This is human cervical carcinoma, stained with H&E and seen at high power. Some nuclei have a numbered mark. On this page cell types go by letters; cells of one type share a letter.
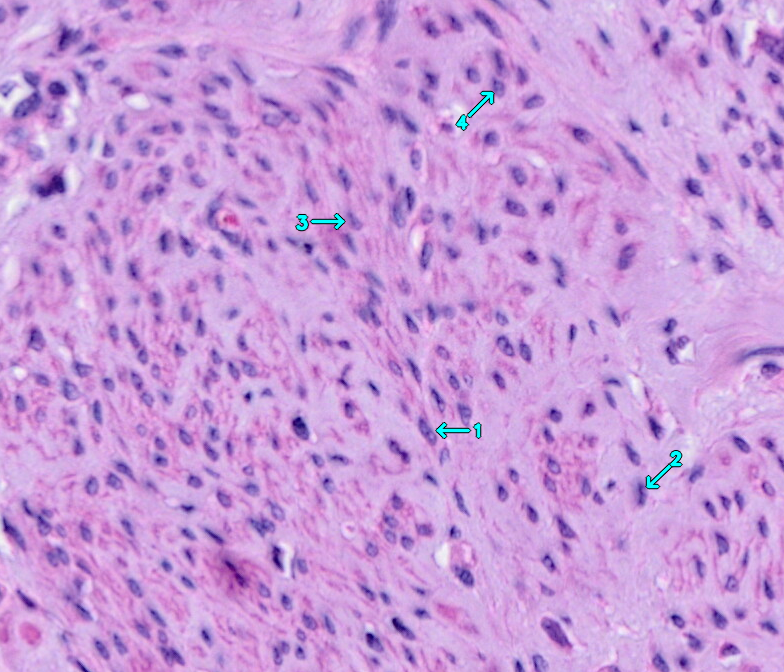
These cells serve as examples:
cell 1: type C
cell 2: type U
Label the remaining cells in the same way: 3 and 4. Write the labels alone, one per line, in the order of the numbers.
type C
type C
